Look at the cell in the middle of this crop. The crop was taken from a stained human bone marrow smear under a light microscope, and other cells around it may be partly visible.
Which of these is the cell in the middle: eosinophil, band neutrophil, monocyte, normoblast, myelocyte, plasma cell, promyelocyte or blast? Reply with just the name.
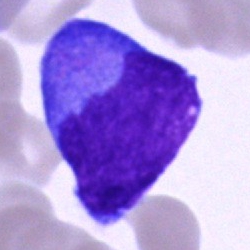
blast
